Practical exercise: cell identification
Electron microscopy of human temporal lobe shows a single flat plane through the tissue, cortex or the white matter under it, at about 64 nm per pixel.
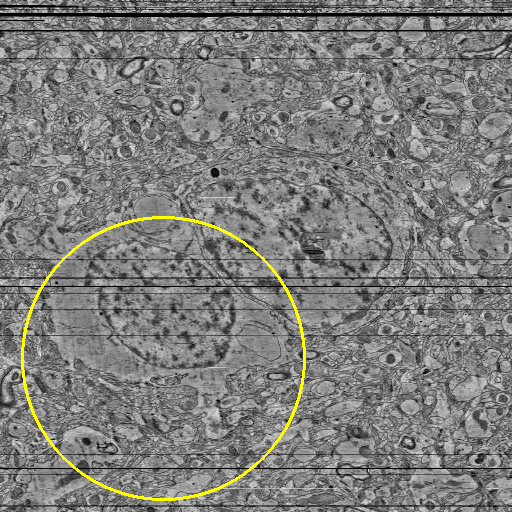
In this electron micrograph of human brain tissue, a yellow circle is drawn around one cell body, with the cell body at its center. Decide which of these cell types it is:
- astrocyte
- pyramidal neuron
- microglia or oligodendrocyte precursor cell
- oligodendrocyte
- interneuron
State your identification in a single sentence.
The ringed cell is an astrocyte.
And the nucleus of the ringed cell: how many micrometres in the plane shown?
The nucleus measures about 10 by 7 micrometres in this plane.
